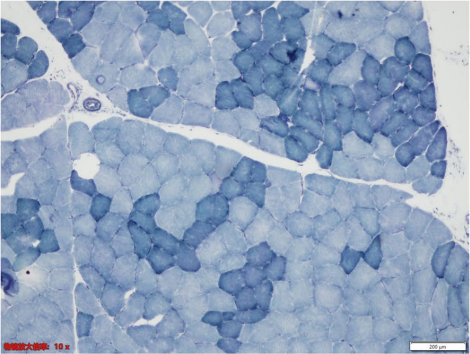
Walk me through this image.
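Cross-section of skeletal muscle fibers, polygonal in outline and packed into fascicles divided by thin connective tissue septa, with a small vessel in one septum. Fibers stain either dark blue or pale blue, and the dark fibers gather in clusters beside large fields of pale fibers instead of being mixed singly.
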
